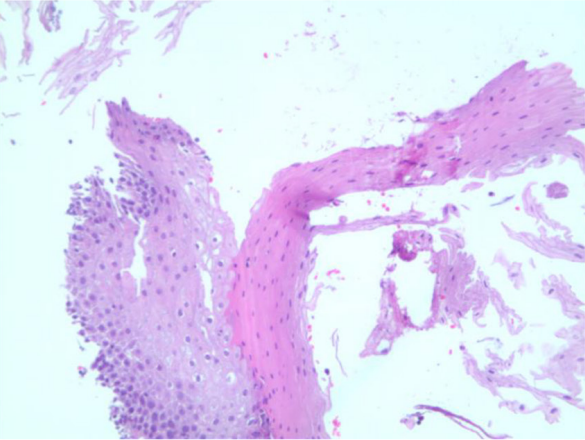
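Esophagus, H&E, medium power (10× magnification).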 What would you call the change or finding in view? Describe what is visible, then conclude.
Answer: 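A band of deep pink squamous epithelium with flattened nuclei lies apart from a deeper cell layer. A gap separates the pink band from the deeper layer. The deeper layer is more purple, with crowded rounder nuclei.
Answer: superficial separation of the squamous epithelial layer above the basal cell layer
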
